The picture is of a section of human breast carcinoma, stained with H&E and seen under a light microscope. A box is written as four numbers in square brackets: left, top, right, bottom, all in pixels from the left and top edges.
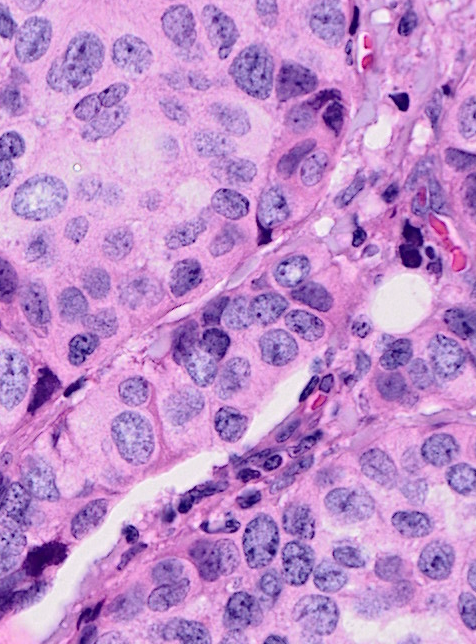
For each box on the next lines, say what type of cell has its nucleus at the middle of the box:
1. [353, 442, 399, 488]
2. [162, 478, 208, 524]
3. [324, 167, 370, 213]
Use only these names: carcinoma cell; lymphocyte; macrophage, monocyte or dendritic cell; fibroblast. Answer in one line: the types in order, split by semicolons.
carcinoma cell; lymphocyte; macrophage, monocyte or dendritic cell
